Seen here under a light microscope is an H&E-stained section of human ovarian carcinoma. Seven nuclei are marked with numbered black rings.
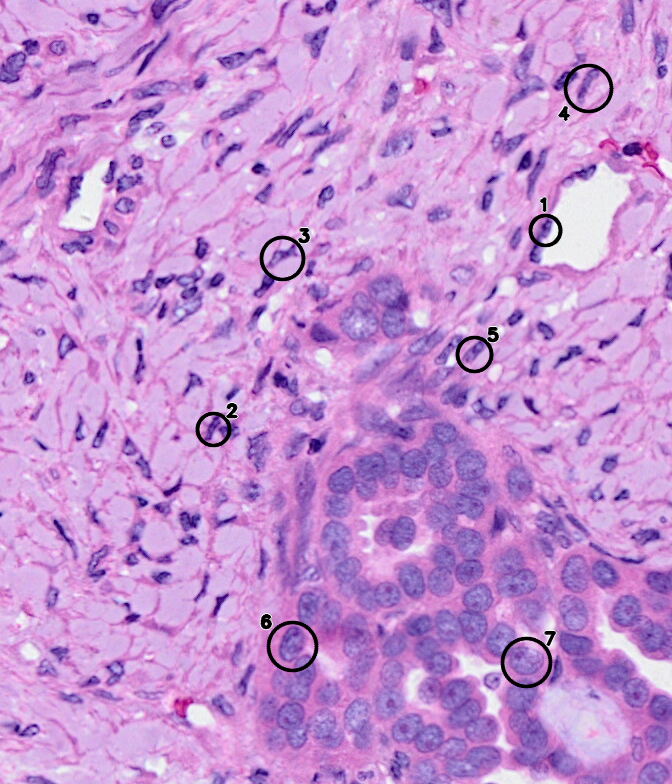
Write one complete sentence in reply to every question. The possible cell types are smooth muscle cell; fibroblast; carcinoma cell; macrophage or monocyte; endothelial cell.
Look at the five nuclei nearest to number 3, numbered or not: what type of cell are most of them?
Macrophages or monocytes make up most of the five nuclei closest to number 3.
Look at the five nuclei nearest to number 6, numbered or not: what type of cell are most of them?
Around number 6, most of the five nearest nuclei are those of carcinoma cells.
